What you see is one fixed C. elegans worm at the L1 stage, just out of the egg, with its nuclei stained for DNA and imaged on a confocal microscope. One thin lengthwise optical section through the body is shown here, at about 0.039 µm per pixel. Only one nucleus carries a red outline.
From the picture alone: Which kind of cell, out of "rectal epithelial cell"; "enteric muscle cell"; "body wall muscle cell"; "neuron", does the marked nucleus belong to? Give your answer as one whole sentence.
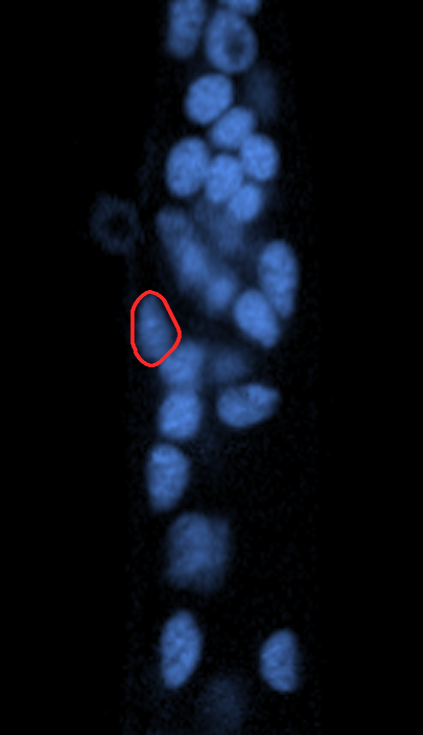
It belongs to a rectal epithelial cell.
